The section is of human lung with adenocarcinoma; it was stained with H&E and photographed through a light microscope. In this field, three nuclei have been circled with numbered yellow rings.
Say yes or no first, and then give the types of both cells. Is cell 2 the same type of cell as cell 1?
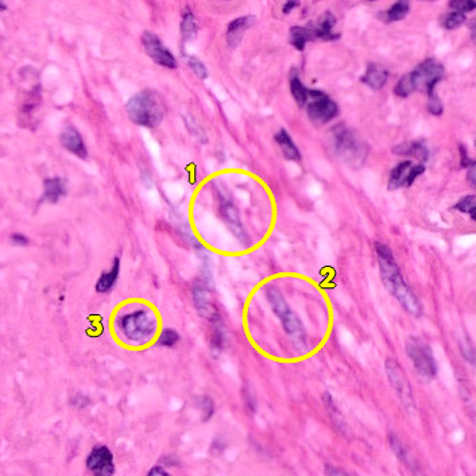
Yes: cells 2 and 1 are both smooth muscle cells or pericytes.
